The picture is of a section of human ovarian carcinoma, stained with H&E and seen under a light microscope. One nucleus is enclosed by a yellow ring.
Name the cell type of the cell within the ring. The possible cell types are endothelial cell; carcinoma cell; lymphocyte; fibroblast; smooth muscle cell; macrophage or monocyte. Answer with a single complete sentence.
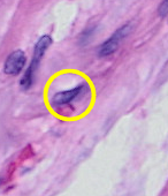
Assigned to a cell type, the cell within the ring is an endothelial cell.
